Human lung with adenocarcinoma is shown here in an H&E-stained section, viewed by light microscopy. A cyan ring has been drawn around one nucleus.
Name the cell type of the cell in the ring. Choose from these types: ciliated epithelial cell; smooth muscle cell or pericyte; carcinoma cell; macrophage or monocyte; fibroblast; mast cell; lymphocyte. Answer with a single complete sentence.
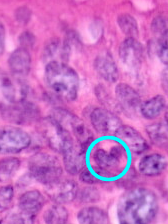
This is a ciliated epithelial cell.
